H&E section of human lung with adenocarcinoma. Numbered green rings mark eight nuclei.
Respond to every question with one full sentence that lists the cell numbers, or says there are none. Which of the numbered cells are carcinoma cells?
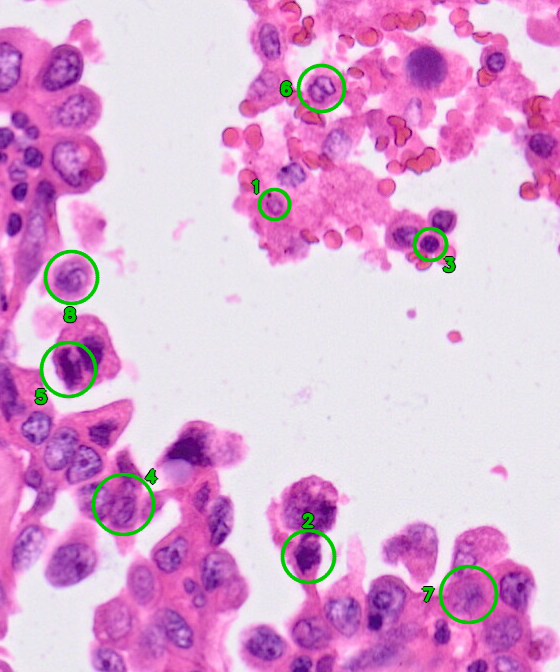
Classified as carcinoma cells are the cells numbered 2, 4, 5, 7 and 8.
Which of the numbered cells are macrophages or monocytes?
Cells 1 and 6 are macrophages or monocytes by cell type.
